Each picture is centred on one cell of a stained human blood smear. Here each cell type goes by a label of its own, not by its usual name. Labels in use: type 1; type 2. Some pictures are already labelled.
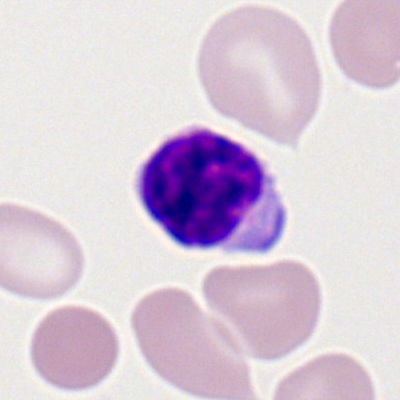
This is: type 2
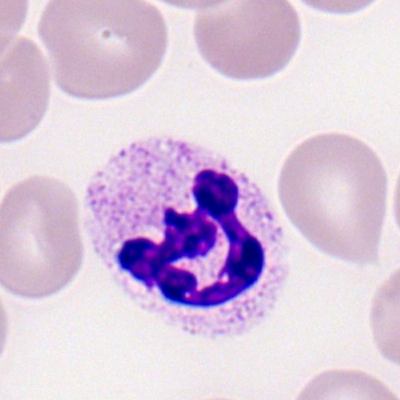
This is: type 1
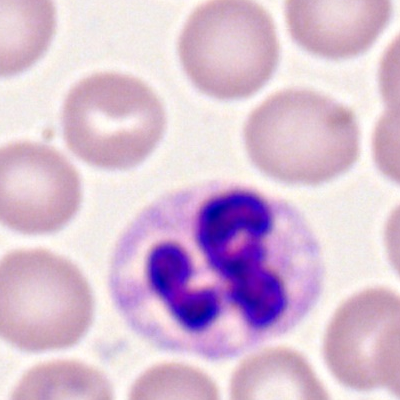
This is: type 1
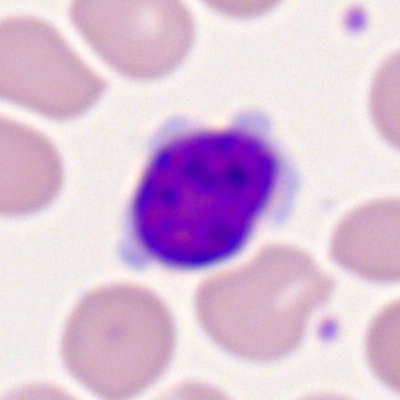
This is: type 2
